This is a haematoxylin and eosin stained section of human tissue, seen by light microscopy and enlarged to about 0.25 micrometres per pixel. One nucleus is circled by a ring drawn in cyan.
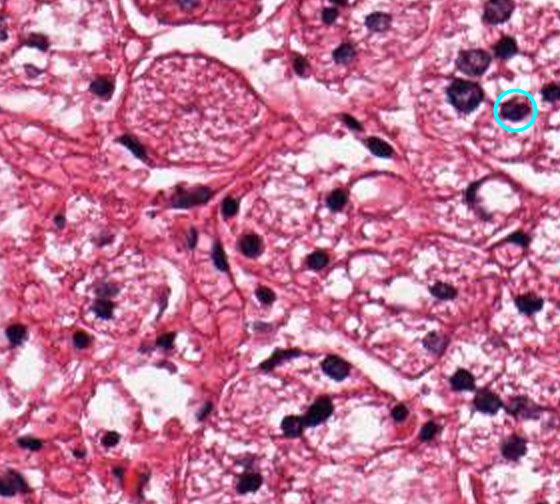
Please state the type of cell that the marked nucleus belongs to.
adrenal cortical cell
